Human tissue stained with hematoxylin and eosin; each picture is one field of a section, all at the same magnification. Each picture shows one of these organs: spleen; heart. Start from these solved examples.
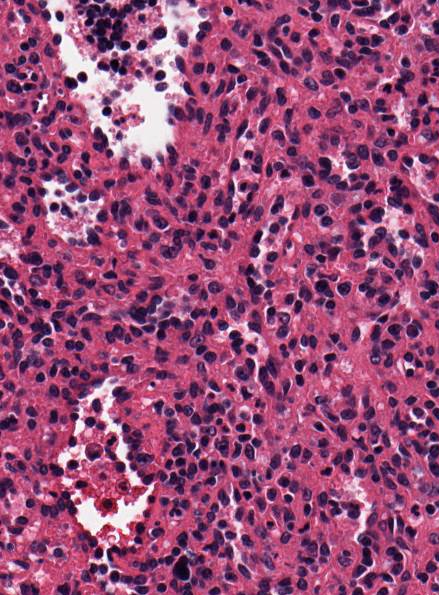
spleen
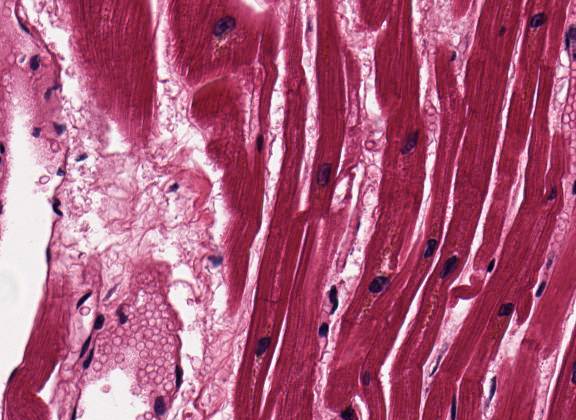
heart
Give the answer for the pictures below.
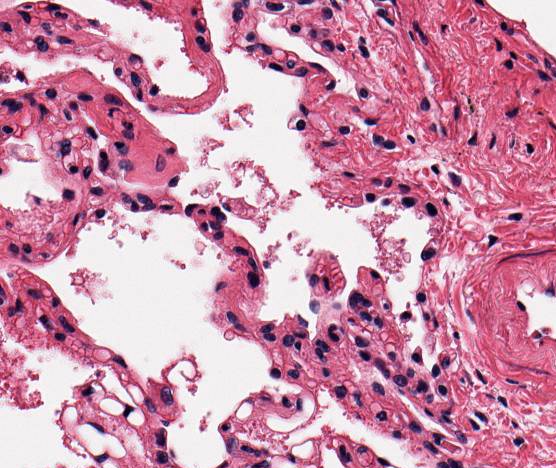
heart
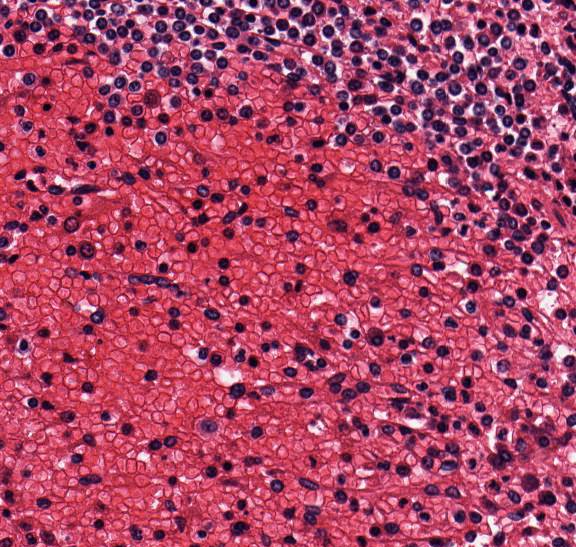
spleen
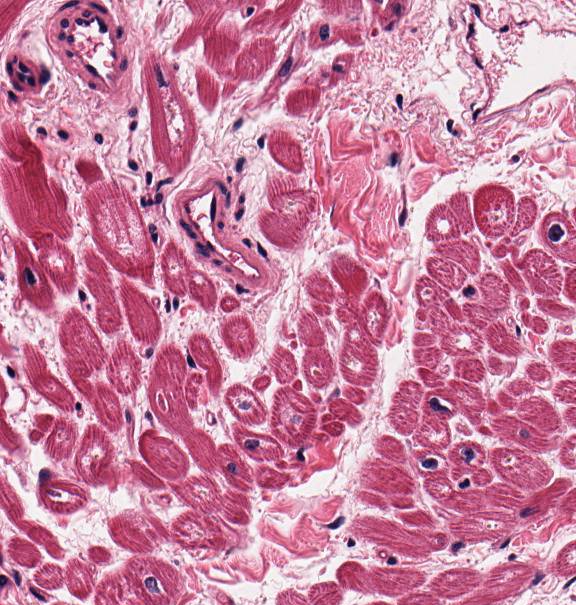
heart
